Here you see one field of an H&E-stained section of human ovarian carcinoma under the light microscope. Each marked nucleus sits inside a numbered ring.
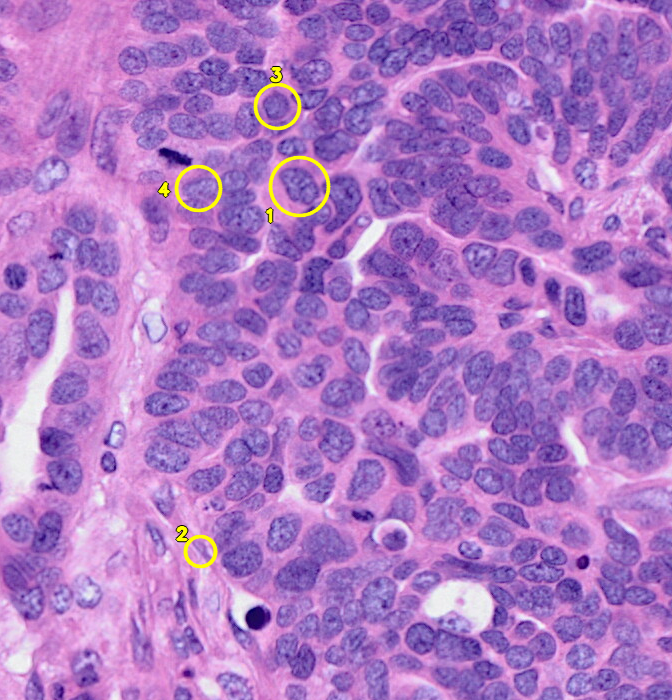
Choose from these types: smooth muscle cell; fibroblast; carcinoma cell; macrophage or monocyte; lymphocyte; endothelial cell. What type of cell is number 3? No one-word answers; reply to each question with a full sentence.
The marked nucleus 3 is that of a carcinoma cell.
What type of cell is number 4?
The numbered cell 4 in this field is a carcinoma cell.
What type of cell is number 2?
Denoted by the label 2 in the section is a fibroblast.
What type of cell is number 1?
The nucleus labelled 1 belongs to a carcinoma cell.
